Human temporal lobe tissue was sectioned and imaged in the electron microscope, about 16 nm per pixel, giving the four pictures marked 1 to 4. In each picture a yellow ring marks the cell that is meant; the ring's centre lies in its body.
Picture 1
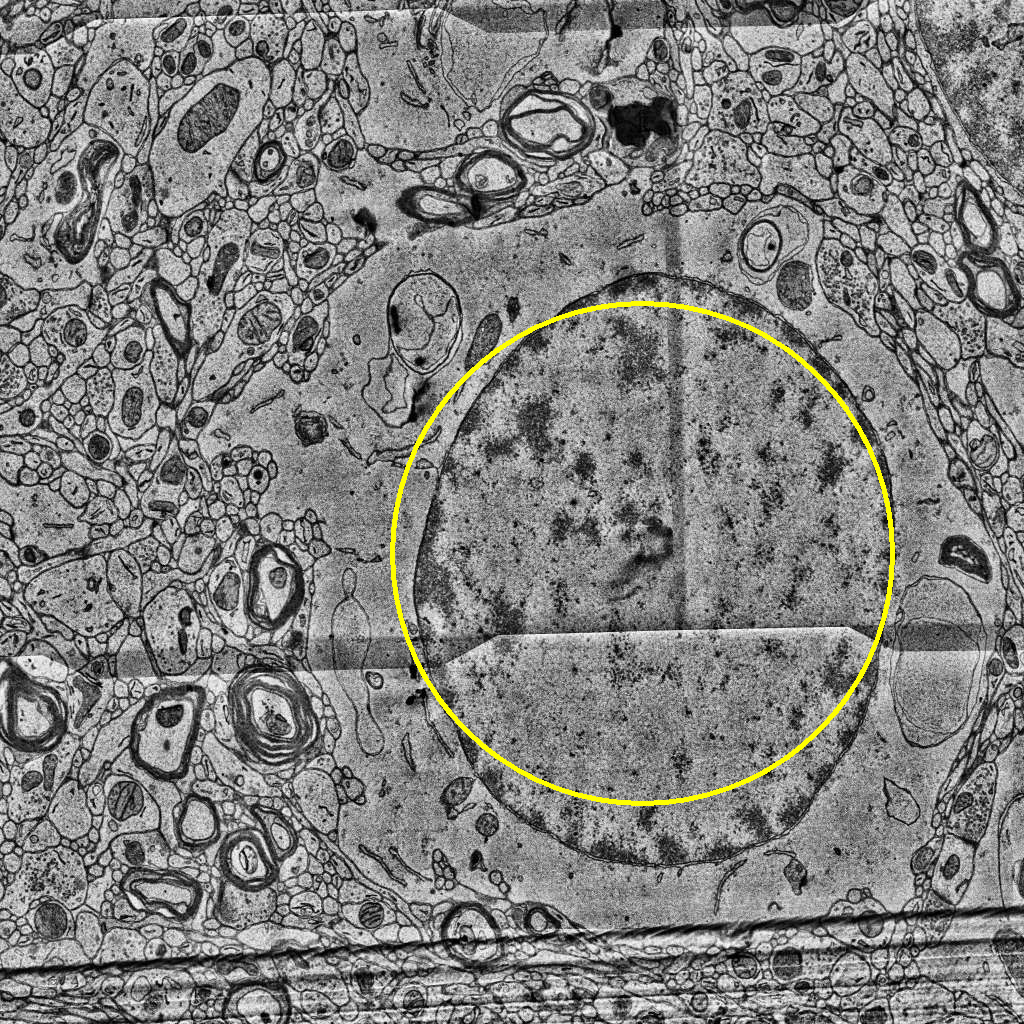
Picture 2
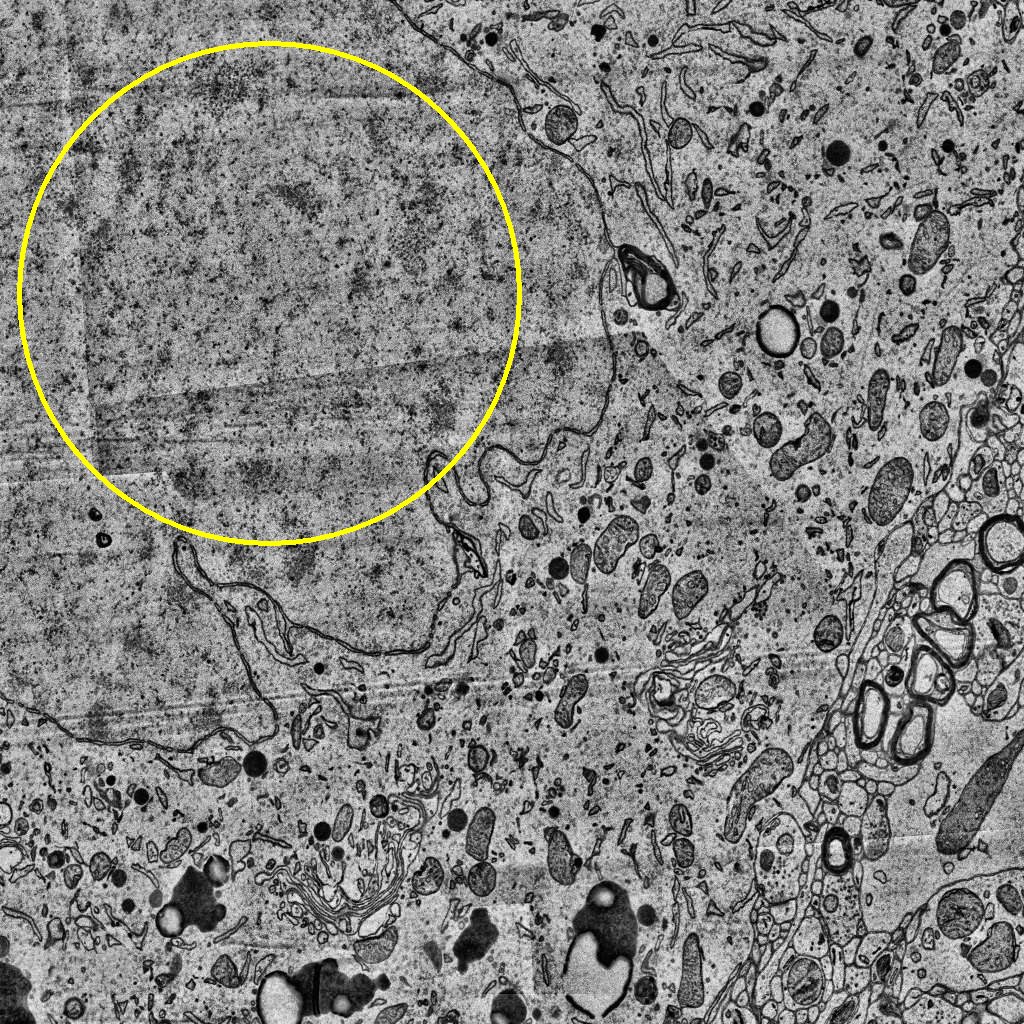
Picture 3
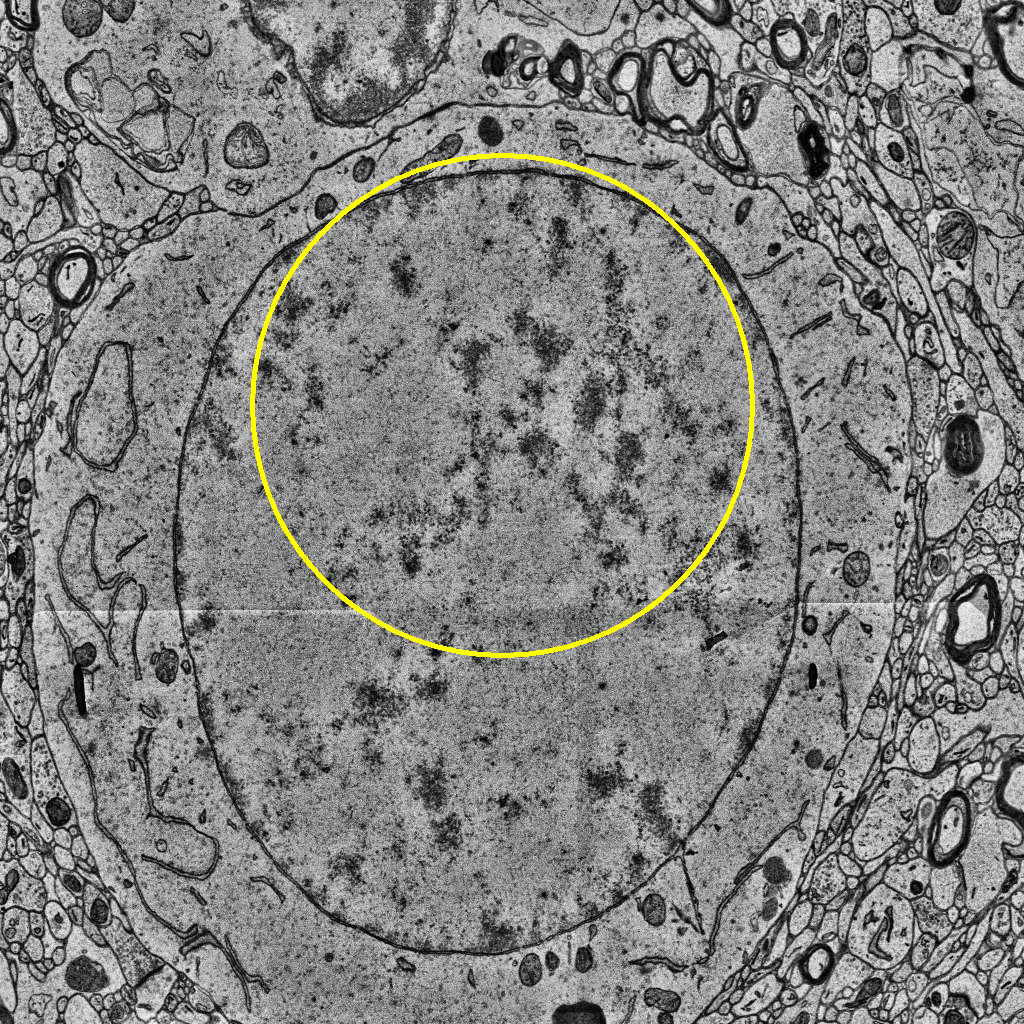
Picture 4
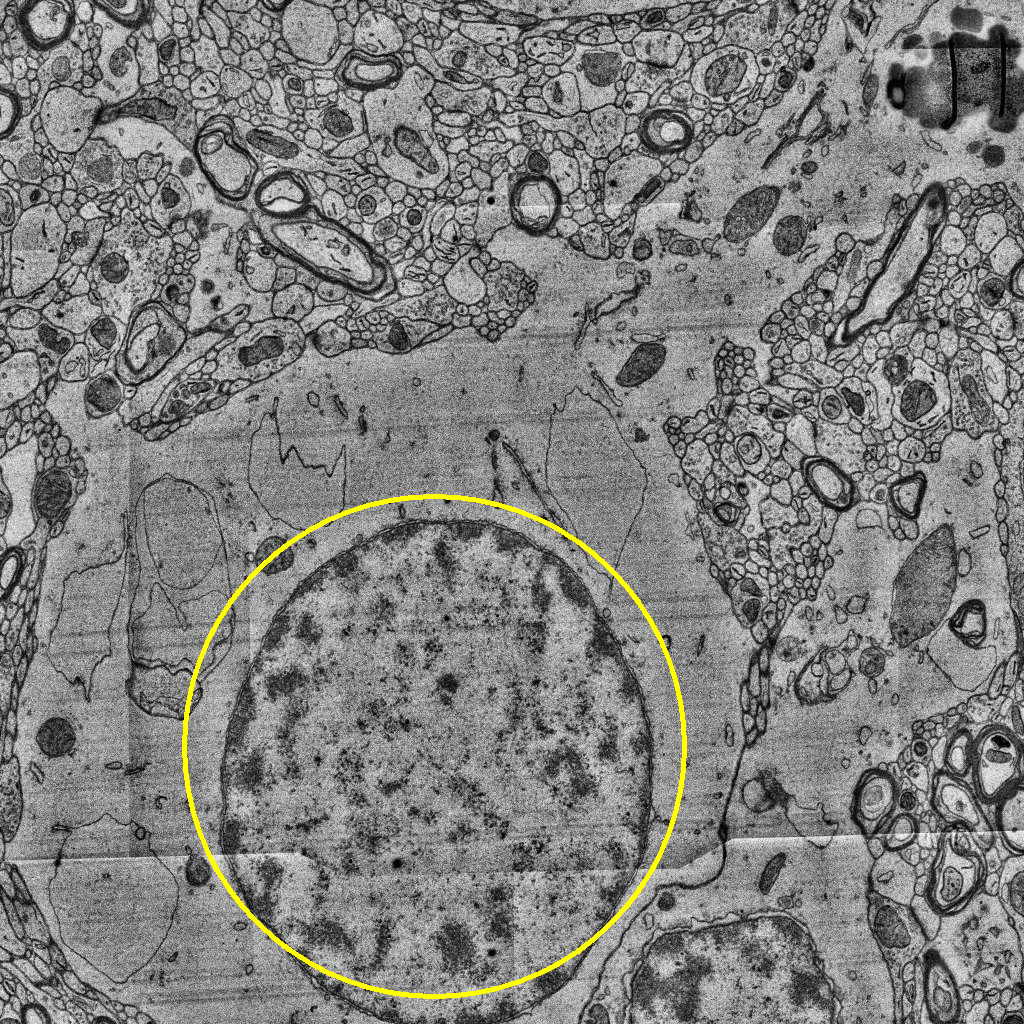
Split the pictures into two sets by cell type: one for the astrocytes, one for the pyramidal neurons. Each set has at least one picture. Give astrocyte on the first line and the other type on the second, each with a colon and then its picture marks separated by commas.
astrocyte: 1, 4
pyramidal neuron: 2, 3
